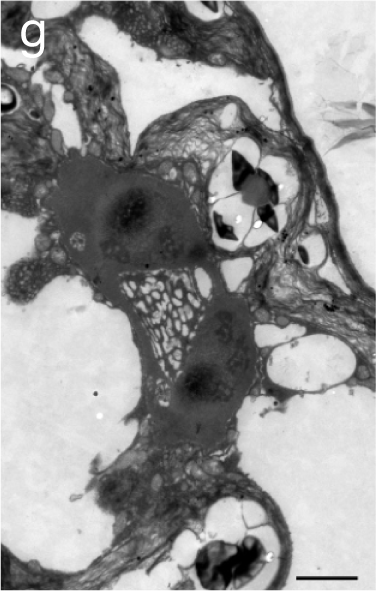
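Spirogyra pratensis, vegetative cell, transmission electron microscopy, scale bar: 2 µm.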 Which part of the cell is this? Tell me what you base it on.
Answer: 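Two large dark rounded bodies lie in the cytoplasm, one above the other. Each dark body contains a denser central region.
Nuclei.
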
